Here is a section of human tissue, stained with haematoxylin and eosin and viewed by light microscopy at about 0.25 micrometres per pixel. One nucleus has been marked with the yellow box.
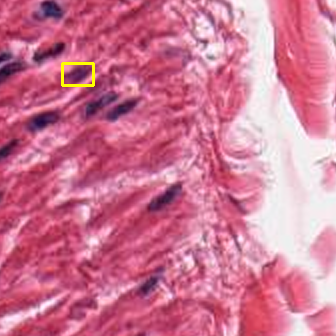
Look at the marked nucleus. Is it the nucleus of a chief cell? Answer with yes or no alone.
no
